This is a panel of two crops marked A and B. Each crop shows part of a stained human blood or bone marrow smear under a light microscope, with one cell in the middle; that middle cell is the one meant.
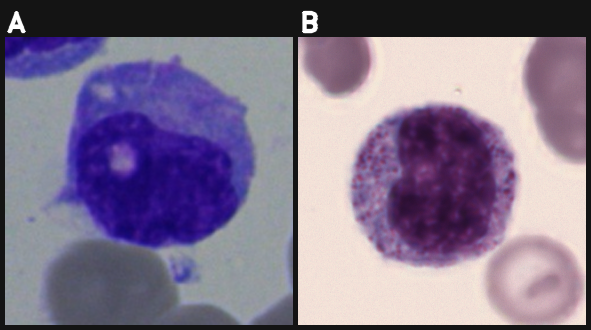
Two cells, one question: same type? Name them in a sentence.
No, crop A matches a monocyte and crop B matches a myelocyte.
